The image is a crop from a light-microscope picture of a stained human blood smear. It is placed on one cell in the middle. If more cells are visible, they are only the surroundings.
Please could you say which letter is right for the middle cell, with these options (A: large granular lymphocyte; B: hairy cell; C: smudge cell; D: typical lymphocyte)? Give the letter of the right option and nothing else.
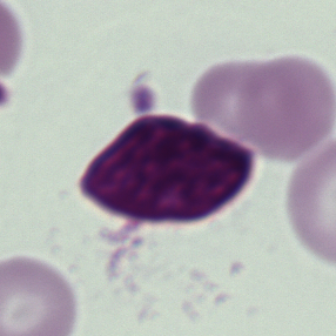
C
